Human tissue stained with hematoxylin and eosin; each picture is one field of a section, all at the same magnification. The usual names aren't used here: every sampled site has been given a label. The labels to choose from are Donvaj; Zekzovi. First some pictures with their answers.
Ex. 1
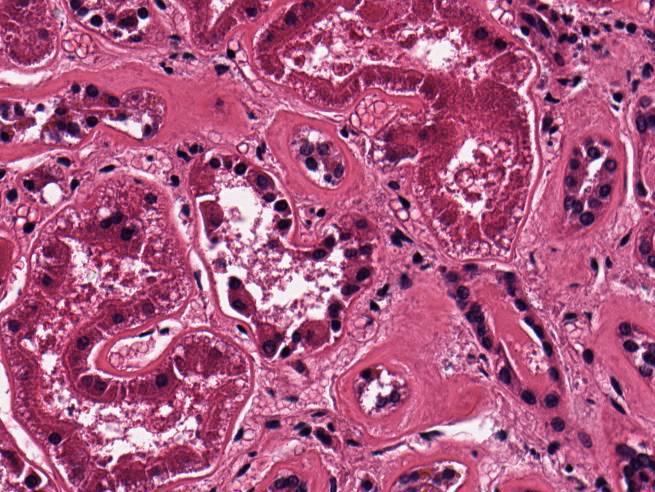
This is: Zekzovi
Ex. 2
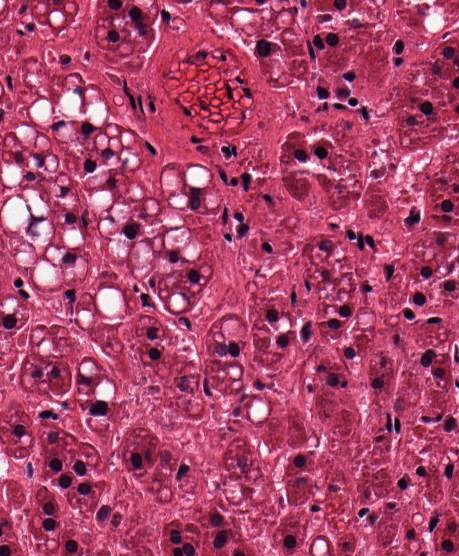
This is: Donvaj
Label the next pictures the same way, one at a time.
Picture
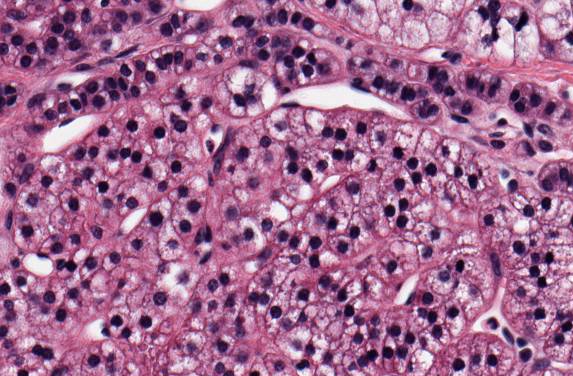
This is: Donvaj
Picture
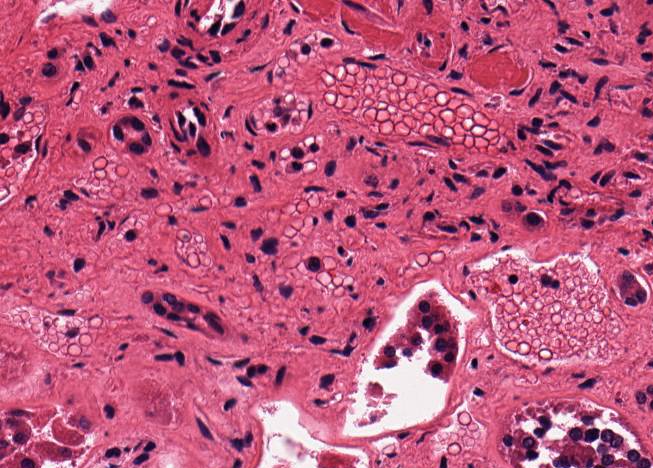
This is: Zekzovi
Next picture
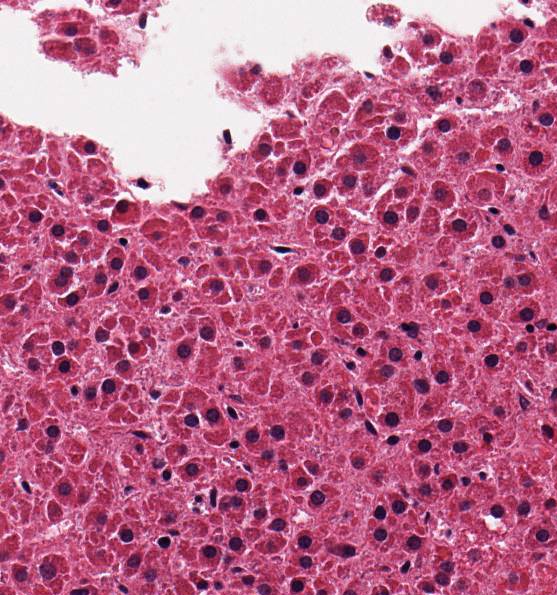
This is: Donvaj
